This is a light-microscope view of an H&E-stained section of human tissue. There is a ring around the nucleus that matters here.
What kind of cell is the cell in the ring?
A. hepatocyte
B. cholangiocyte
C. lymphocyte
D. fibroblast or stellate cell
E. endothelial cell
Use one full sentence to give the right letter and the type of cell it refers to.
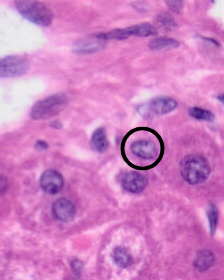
Of the options given, B is right: the cell in the ring is a cholangiocyte.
